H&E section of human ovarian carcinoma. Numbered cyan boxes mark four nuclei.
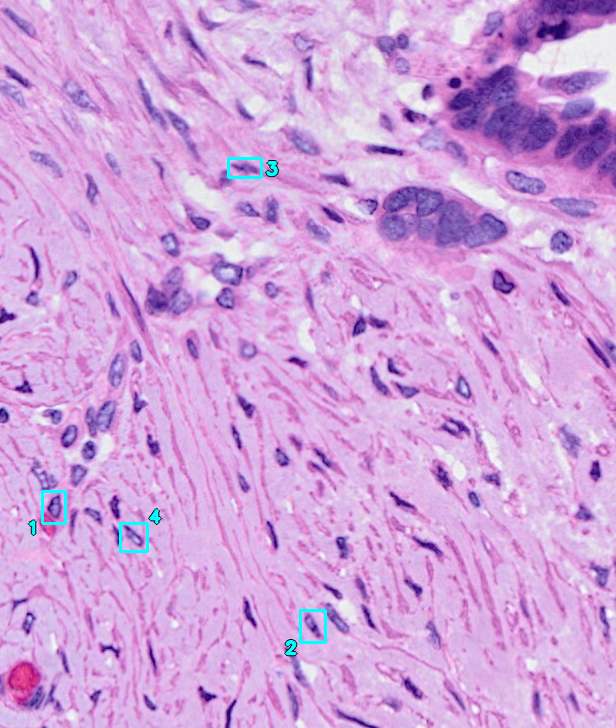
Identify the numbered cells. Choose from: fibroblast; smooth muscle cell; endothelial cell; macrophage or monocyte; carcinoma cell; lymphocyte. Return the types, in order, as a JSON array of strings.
["endothelial cell", "fibroblast", "fibroblast", "fibroblast"]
